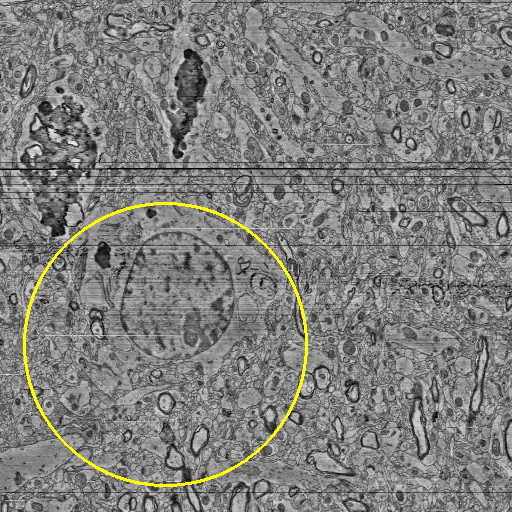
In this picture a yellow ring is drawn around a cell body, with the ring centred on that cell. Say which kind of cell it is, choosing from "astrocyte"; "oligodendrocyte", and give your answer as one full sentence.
Here it is an astrocyte that sits at the centre of the drawn yellow ring.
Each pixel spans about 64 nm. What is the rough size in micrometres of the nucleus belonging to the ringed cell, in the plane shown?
The nucleus comes to roughly 9 by 7 micrometres in this plane.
